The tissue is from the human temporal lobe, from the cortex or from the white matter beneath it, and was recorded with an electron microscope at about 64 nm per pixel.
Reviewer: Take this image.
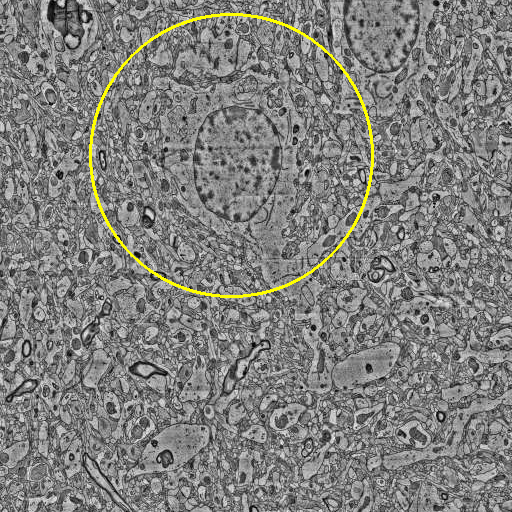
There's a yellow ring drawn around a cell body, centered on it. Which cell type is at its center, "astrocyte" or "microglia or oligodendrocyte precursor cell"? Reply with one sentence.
At the center of the yellow ring is an astrocyte.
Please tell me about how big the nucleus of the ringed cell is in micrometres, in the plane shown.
About 7 by 6 micrometers for the nucleus, in this plane.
